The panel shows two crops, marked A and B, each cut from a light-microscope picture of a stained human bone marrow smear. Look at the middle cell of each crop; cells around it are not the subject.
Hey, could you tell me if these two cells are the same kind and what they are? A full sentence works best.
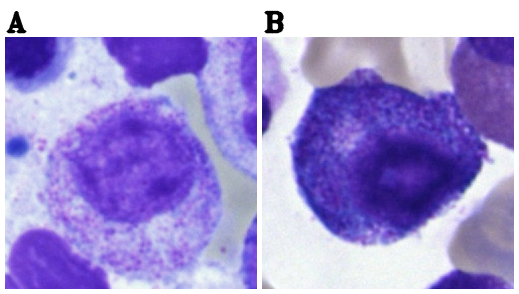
No, crop A has a myelocyte in the middle, and crop B has a promyelocyte.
